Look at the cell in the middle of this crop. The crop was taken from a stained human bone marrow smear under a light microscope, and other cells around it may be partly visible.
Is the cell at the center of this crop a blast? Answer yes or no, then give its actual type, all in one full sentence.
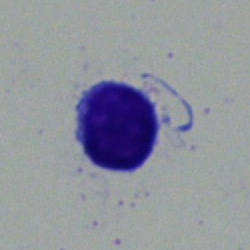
No, the central cell isn't a blast, but a lymphocyte.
